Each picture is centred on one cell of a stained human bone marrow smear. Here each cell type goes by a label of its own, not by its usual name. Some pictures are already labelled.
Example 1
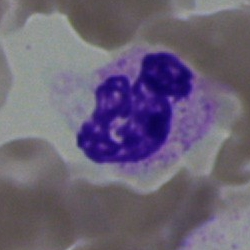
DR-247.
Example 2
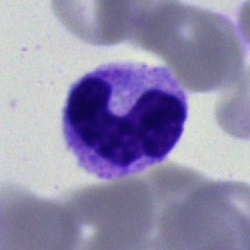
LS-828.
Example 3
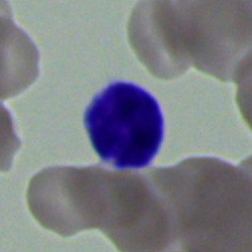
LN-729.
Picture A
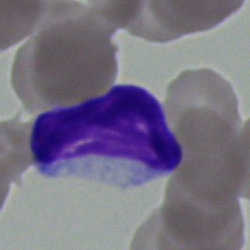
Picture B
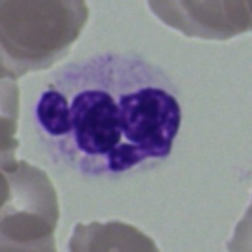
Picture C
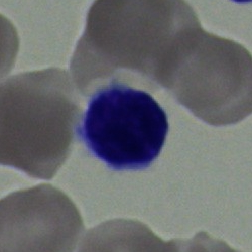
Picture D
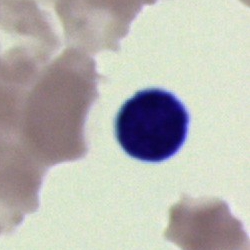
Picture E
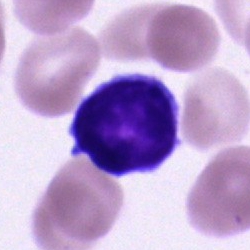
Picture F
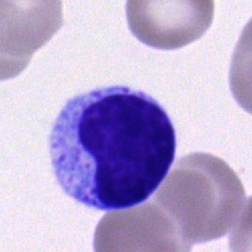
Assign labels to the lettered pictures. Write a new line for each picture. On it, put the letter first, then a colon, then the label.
A: LN-729.
B: DR-247.
C: LN-729.
D: LN-729.
E: LN-729.
F: LN-729.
